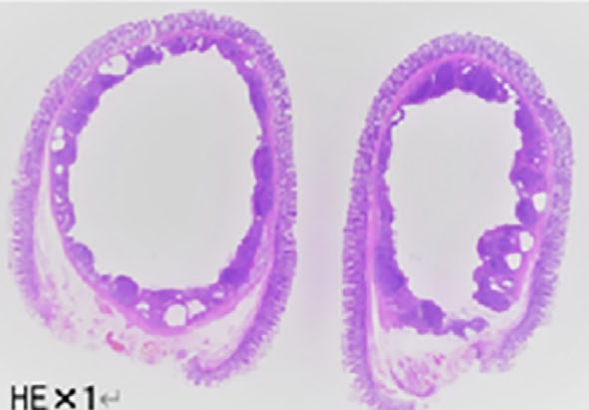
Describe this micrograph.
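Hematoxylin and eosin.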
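At very low power, two ring-shaped sections of a cystic structure each enclose a large empty central space. The outer surface of each ring carries a fine fringe of mucosal folds, while the inner surface is lined by a thicker, irregular purple layer with scattered small round cavities. Between them runs a thin pink layer of wall, and the inner layer is focally thickened into nodular masses.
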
